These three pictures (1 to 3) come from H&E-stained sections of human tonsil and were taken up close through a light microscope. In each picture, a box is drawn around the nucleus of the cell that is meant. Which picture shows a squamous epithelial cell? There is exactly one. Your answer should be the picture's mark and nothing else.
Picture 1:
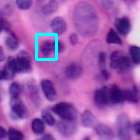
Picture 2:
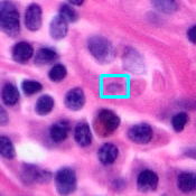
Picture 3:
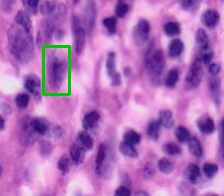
3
